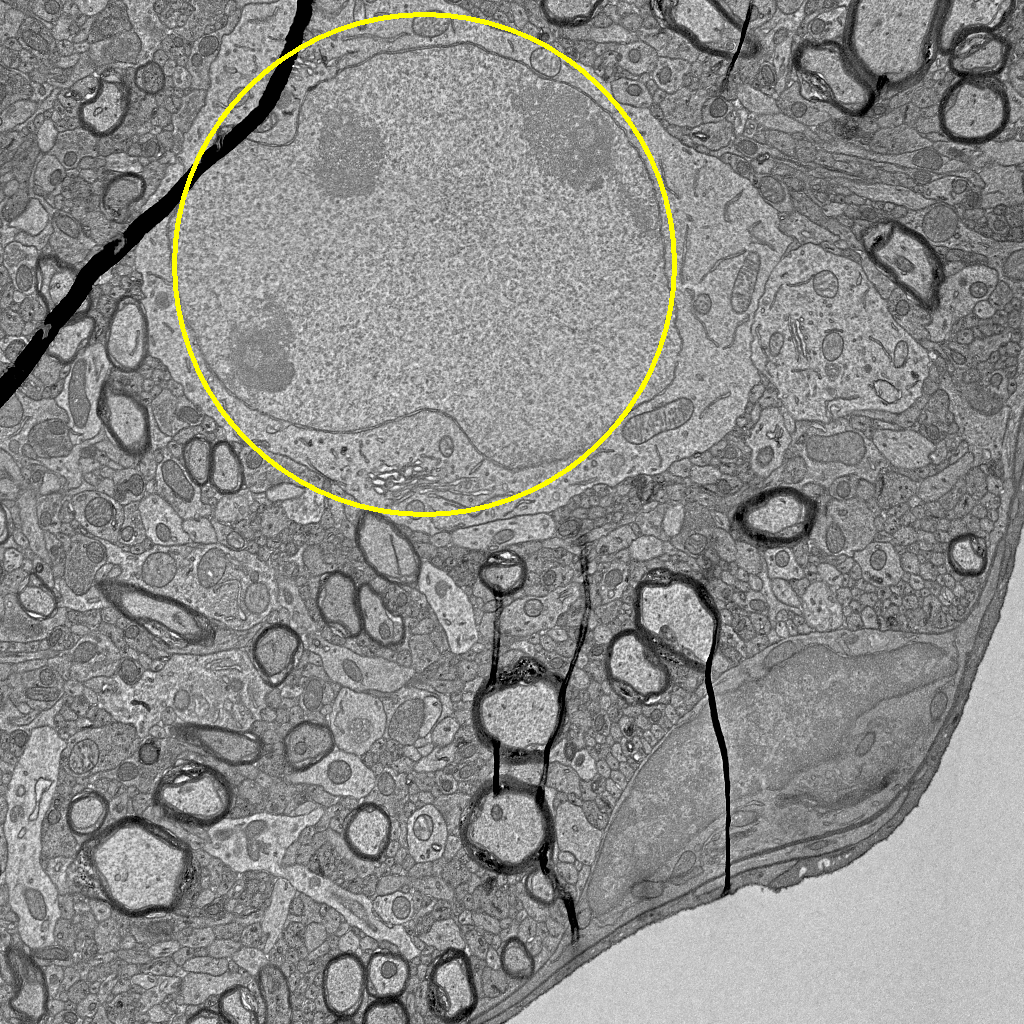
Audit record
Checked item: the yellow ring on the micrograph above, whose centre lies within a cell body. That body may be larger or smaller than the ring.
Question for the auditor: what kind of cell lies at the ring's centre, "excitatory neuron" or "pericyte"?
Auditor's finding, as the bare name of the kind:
excitatory neuron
